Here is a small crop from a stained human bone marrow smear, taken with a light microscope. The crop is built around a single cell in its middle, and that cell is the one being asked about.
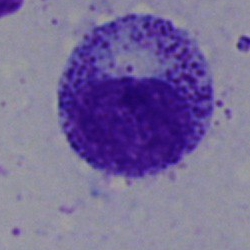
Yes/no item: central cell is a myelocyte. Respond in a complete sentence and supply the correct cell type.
Yes, the cell that lies centrally is a myelocyte.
